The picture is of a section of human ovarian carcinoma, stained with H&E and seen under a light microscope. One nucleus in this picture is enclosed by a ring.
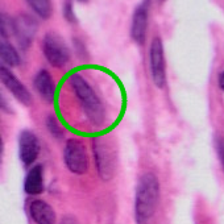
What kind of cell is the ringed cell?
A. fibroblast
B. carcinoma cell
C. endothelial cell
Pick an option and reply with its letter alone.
C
